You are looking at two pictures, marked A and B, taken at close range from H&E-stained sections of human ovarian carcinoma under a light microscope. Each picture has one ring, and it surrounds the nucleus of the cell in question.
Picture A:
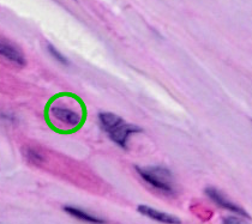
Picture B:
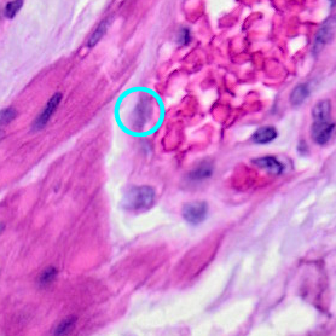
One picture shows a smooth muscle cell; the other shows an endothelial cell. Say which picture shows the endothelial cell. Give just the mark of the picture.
B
